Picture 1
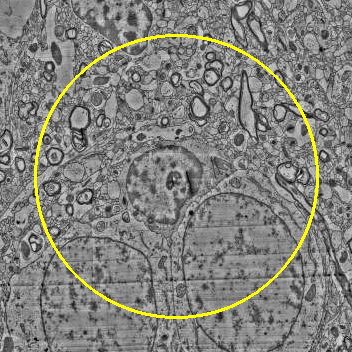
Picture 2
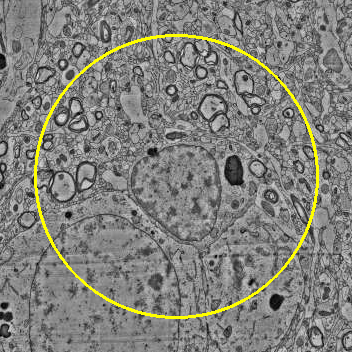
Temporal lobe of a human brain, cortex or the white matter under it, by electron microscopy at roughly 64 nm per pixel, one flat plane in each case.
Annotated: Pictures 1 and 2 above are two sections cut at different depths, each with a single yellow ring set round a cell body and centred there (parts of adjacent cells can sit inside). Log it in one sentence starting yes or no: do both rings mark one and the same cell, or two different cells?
Yes, a single cell is the subject of both yellow rings.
